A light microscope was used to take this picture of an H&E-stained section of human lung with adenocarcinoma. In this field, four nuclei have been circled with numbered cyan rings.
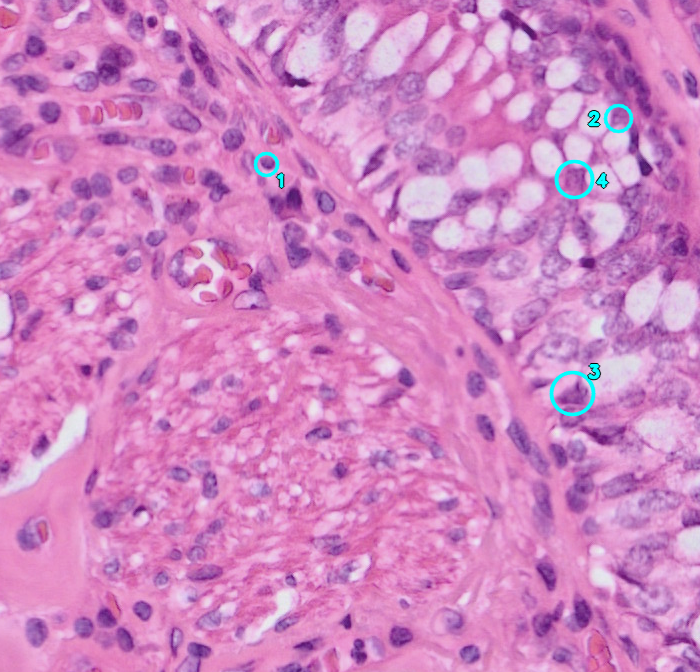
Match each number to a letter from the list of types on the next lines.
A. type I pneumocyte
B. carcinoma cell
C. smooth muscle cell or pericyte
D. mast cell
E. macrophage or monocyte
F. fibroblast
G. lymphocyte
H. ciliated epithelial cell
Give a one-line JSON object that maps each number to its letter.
{"1": "G", "2": "H", "3": "H", "4": "H"}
